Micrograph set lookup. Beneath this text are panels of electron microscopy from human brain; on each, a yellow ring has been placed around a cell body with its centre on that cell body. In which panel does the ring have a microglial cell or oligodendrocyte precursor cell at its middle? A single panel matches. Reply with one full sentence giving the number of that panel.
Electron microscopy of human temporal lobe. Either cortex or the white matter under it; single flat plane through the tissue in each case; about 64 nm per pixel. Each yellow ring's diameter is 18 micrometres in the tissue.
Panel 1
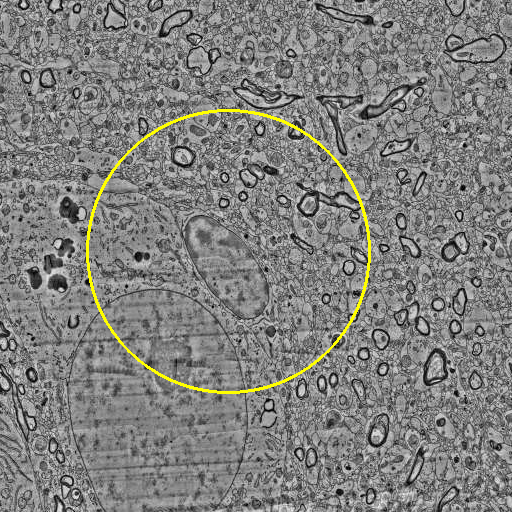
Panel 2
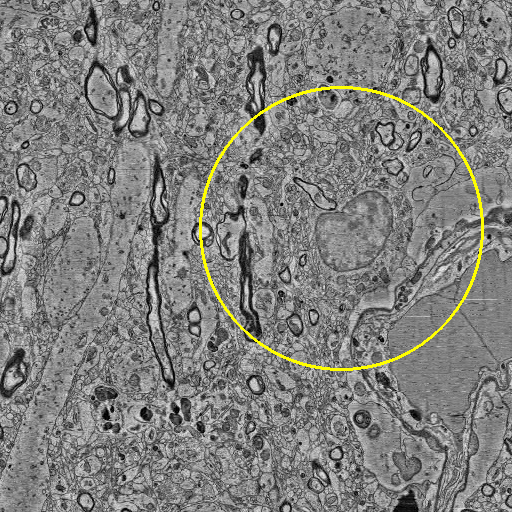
Panel 1 is the one whose ring has the sought cell at its centre.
